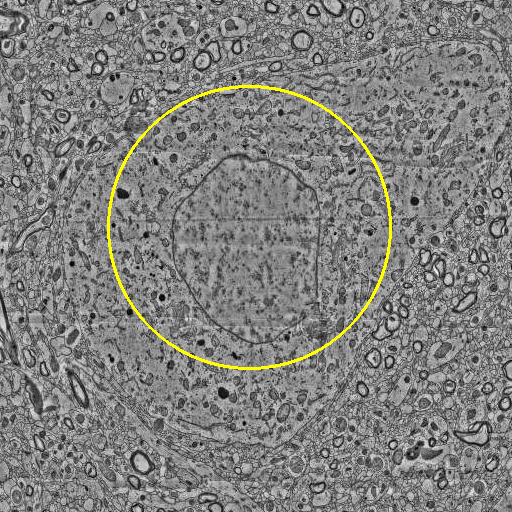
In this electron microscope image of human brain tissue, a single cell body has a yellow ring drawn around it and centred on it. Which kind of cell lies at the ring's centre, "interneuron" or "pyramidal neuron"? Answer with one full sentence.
It is a pyramidal neuron whose cell body lies at the centre of the yellow ring here.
